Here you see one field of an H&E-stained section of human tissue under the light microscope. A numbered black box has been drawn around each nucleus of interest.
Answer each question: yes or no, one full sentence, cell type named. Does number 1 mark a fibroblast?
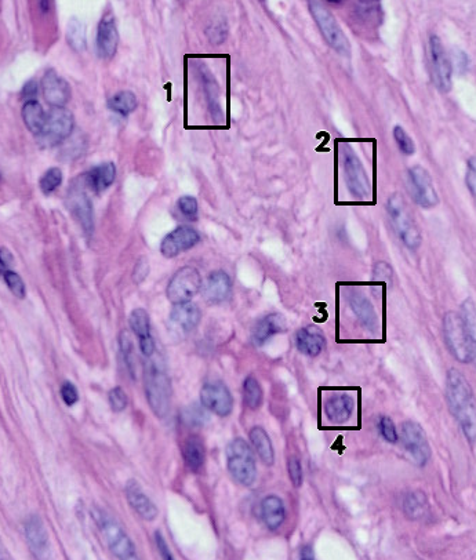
Yes, the one with the number 1 is a fibroblast.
